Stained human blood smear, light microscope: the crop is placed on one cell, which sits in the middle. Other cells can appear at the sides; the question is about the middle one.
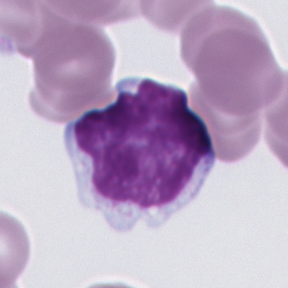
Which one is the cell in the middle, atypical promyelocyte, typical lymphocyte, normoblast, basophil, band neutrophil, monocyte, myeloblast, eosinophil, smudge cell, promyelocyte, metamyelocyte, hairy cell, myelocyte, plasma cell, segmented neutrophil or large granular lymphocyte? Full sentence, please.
This crop's central cell is a large granular lymphocyte.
